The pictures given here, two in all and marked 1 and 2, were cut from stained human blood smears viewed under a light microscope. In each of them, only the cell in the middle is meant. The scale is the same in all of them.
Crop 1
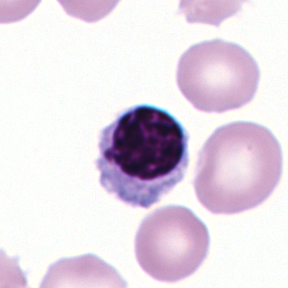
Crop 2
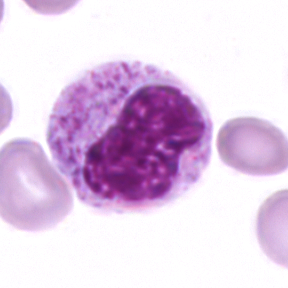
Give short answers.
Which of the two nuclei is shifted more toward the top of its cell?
1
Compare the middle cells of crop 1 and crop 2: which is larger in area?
2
